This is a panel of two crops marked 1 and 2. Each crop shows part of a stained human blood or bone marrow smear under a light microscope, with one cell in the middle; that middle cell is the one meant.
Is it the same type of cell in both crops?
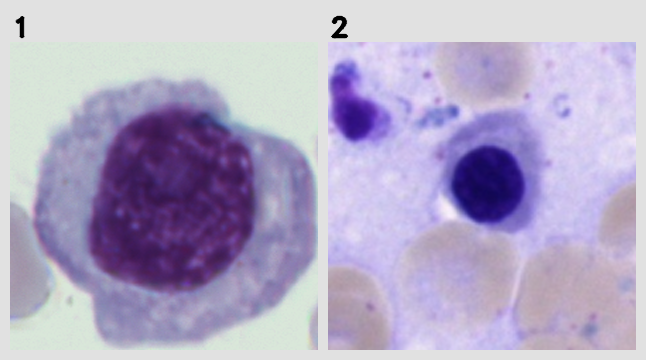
no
